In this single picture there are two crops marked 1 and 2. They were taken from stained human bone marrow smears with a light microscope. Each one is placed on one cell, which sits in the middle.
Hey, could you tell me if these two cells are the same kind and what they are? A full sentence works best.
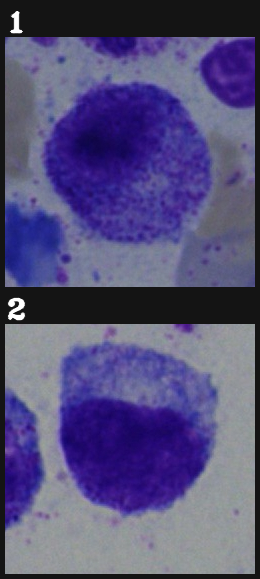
Yes, myelocytes are what the two crops show.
